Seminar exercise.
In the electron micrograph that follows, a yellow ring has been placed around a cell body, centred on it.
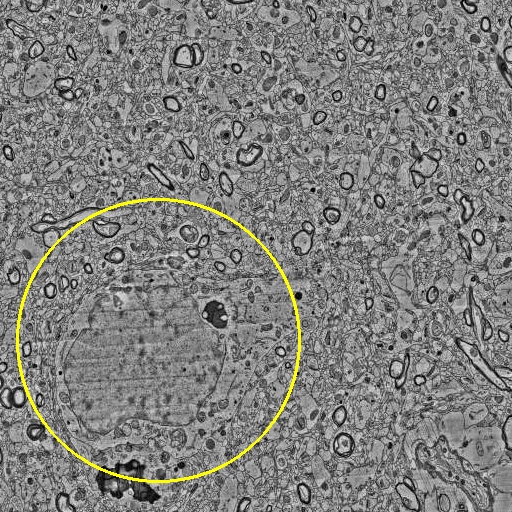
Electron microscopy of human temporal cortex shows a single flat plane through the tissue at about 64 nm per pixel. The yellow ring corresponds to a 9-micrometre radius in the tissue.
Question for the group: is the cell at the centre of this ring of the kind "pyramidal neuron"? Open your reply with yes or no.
No, the cell in the ring's centre is of another kind.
